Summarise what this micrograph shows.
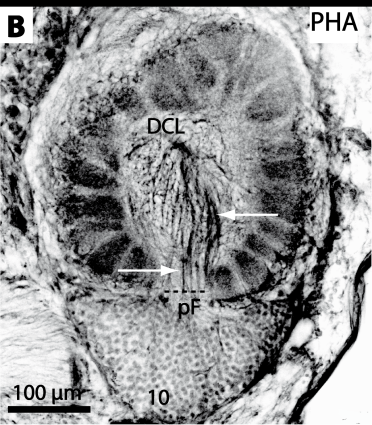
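This shows the deutrocerebral chemosensory lobe in horizontal section, with a ring of dark, rounded to wedge-shaped glomeruli around its edge. Thin fibre bundles run from the glomeruli through the paler centre of the lobe and gather toward an opening at its lower side. Below the lobe lies a cell cluster whose tissue forms a fine honeycomb pattern of small outlined cell profiles.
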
